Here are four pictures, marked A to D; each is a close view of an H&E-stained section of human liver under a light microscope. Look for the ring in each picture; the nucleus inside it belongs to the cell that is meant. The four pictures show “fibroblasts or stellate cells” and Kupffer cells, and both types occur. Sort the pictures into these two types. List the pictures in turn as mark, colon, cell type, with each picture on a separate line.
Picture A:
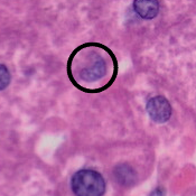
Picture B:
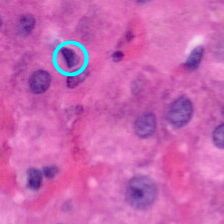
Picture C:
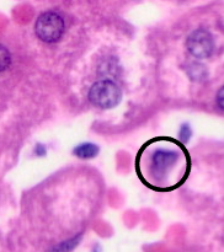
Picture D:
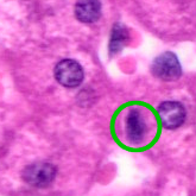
A: Kupffer cell
B: fibroblast or stellate cell
C: Kupffer cell
D: fibroblast or stellate cell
